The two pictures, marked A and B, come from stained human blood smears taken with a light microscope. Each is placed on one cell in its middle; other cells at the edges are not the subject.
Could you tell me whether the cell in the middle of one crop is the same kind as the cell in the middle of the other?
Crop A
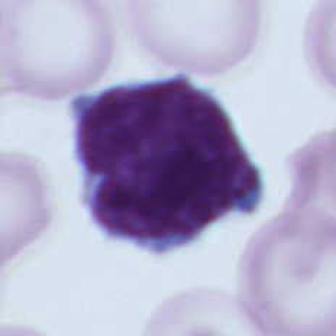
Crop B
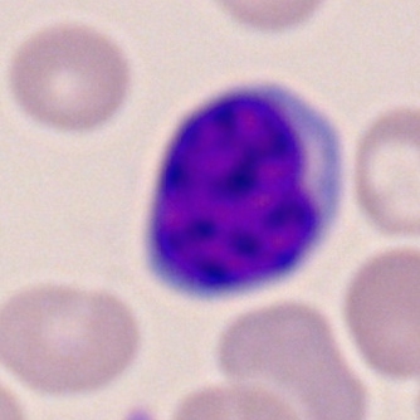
yes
